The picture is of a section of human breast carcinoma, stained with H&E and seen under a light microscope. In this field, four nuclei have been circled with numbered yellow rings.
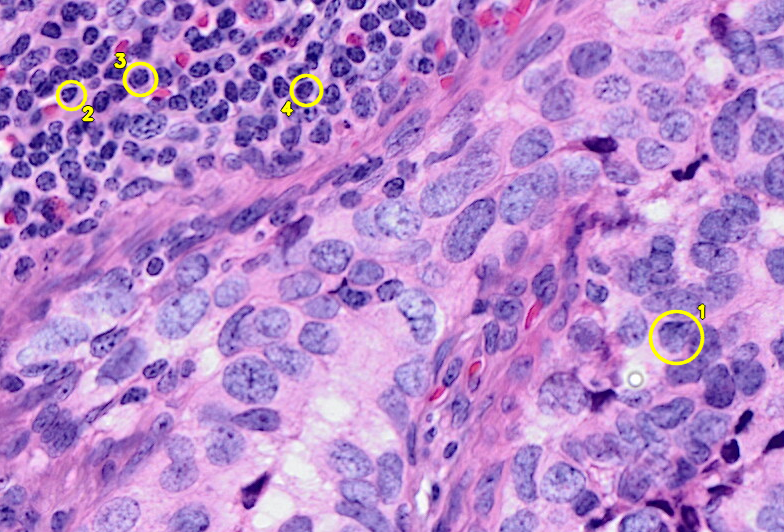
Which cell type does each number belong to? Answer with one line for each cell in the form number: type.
1: carcinoma cell
2: lymphocyte
3: lymphocyte
4: lymphocyte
